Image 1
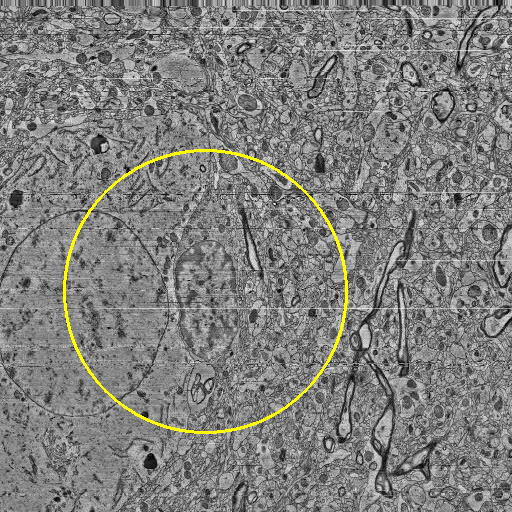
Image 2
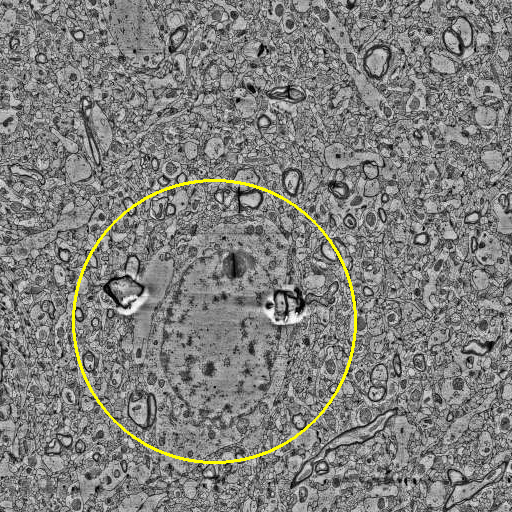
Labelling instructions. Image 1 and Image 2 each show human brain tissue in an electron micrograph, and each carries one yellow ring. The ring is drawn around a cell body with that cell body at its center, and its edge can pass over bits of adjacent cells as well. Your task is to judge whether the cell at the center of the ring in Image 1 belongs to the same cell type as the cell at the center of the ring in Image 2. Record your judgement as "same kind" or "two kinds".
two kinds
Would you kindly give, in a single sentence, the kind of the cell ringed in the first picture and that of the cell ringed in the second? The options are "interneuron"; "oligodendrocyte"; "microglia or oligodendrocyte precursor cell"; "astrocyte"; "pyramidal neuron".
The second cell is an interneuron, and the first cell is an oligodendrocyte.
